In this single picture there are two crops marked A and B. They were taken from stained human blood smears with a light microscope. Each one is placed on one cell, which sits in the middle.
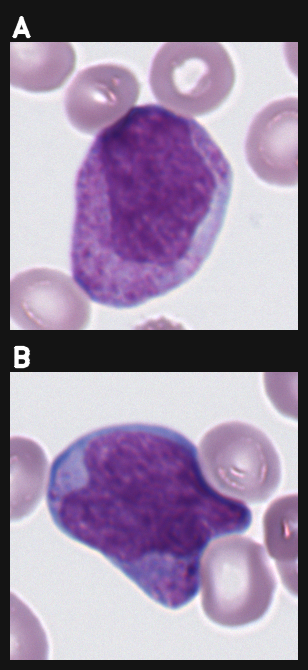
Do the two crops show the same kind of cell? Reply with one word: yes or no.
yes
